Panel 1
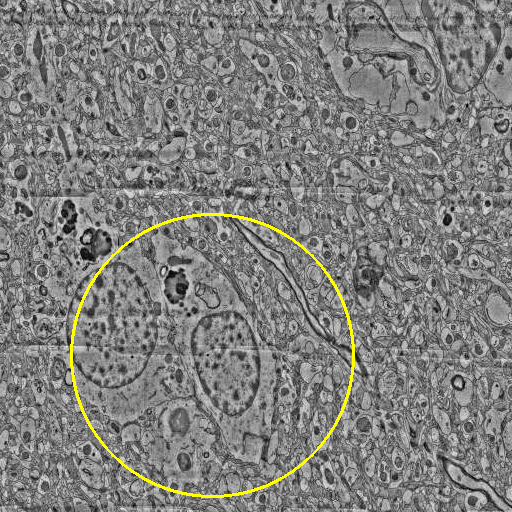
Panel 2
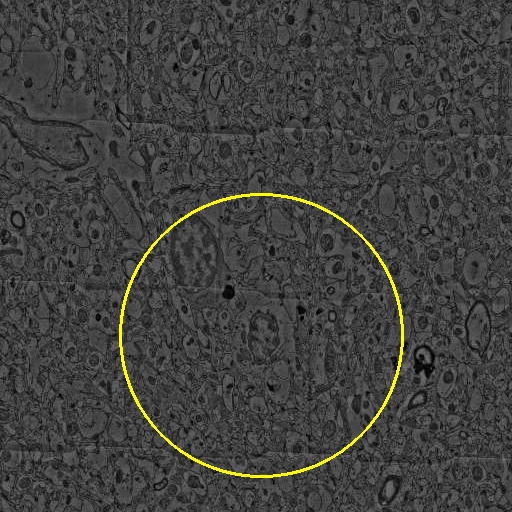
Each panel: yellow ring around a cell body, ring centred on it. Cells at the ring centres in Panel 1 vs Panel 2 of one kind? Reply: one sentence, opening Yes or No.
No, Panel 1 and Panel 2 have cells of two kinds at the ring centres.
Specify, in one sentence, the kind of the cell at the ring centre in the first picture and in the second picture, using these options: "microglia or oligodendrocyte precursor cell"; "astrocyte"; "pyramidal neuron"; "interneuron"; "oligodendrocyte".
So the first is an astrocyte, the second a microglial cell or oligodendrocyte precursor cell.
